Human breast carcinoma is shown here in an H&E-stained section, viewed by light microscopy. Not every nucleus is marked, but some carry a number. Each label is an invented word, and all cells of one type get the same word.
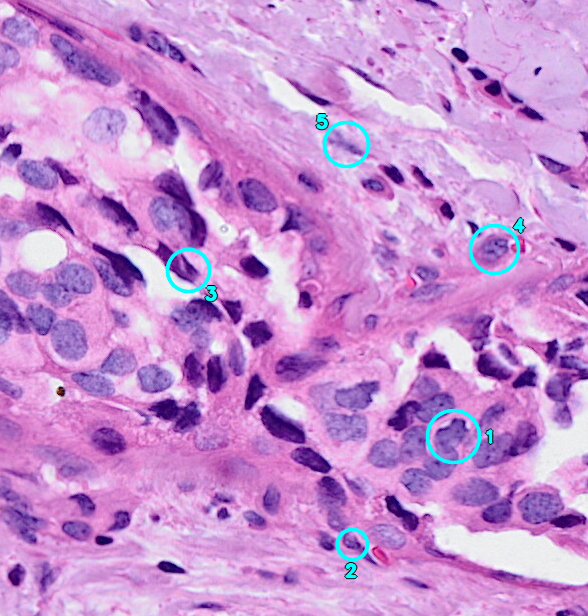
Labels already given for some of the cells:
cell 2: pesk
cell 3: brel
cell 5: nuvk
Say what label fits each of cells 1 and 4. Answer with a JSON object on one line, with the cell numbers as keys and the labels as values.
{"1": "brel", "4": "pesk"}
